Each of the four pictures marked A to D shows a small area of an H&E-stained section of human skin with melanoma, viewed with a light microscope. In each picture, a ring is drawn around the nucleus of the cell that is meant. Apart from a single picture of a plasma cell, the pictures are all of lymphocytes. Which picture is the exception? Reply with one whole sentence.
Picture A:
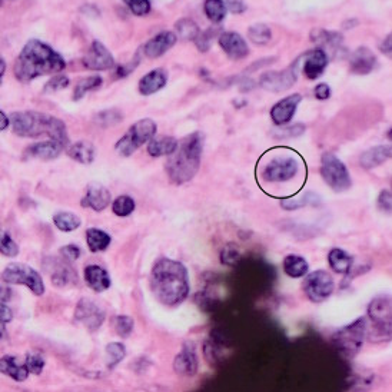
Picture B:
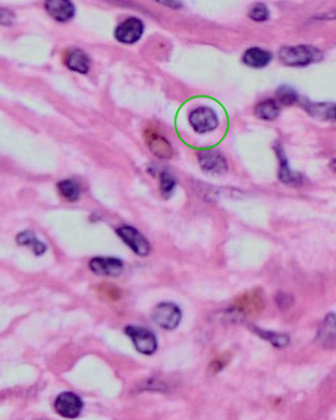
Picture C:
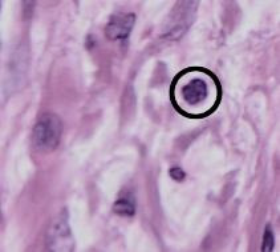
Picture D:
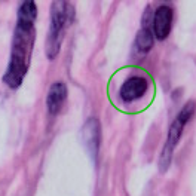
The picture with the plasma cell is D.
